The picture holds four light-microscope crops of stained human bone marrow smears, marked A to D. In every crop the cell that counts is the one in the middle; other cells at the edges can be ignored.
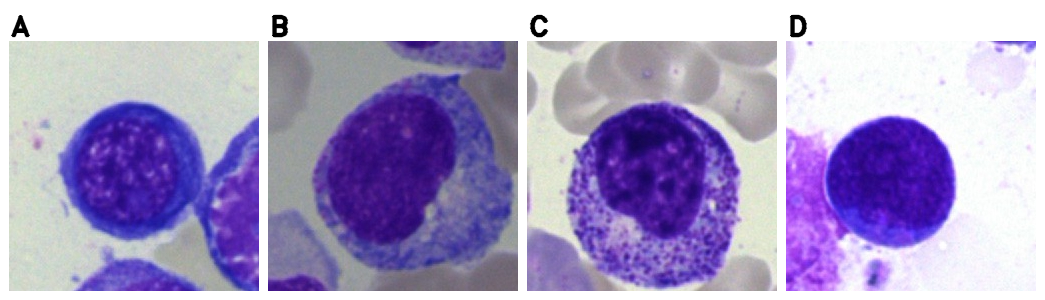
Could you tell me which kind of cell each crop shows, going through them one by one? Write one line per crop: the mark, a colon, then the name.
A: normoblast
B: promyelocyte
C: promyelocyte
D: blast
